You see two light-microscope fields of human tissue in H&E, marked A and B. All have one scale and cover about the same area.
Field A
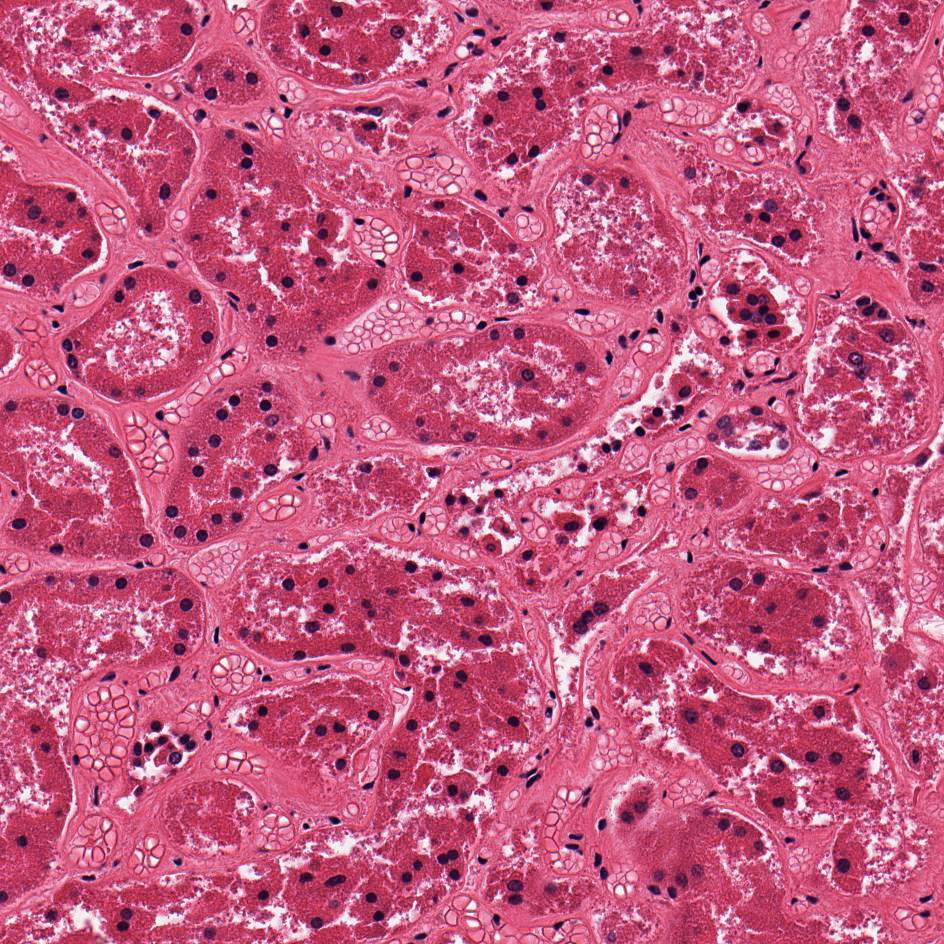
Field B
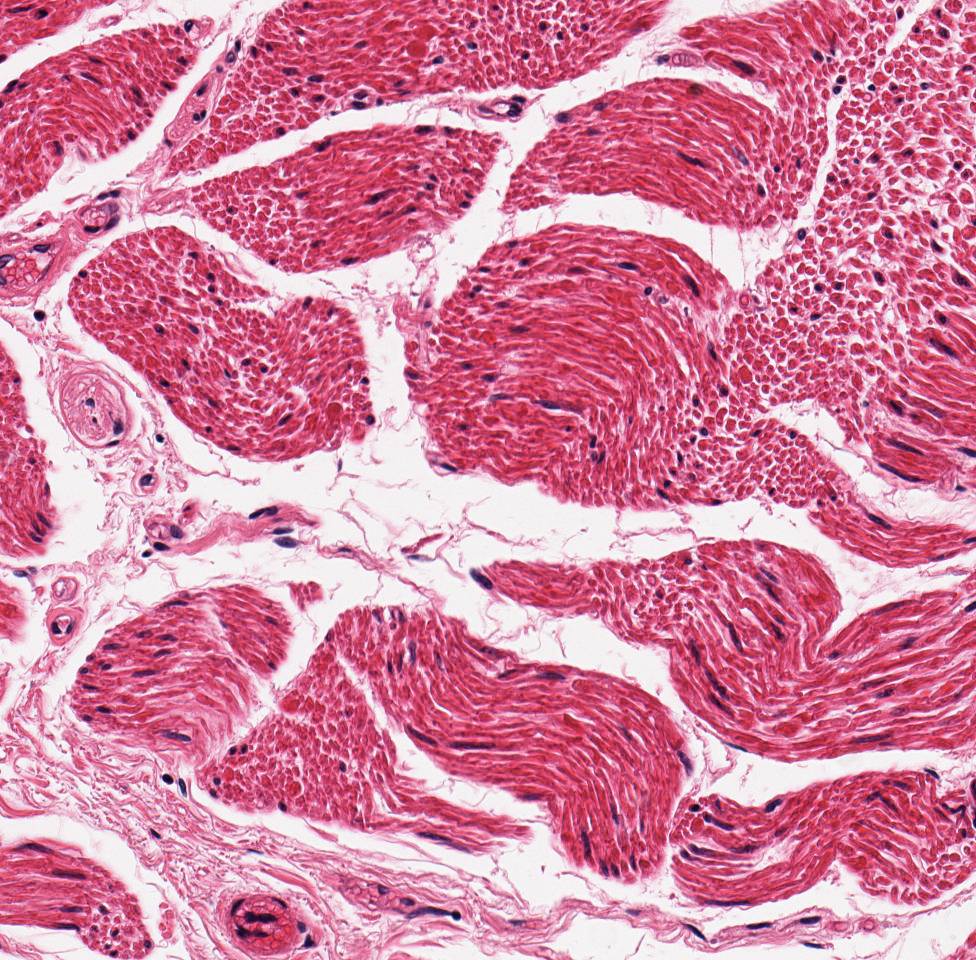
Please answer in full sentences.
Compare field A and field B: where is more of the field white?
More of field B is empty and white.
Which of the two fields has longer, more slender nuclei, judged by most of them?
On the whole the nuclei of field B are more drawn out than those of field A.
